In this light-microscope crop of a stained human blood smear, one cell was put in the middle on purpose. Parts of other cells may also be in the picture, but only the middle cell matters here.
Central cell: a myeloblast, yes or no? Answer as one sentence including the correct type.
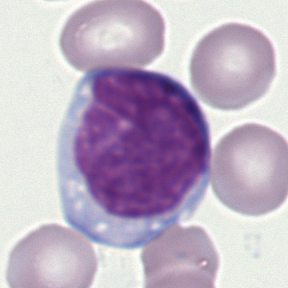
Yes, the cell found in the middle is a myeloblast.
